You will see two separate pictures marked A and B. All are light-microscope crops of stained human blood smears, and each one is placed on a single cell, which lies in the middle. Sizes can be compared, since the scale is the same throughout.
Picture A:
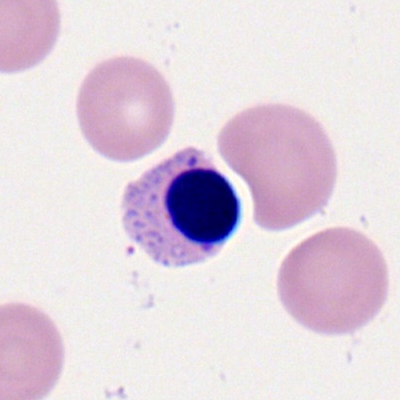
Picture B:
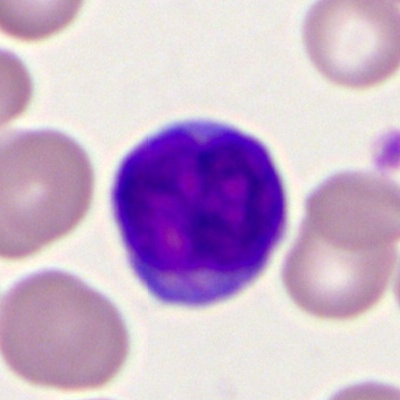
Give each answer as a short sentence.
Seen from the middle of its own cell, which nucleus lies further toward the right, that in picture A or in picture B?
It is the nucleus in picture A that lies further toward the right of its cell.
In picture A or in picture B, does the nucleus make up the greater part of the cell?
It is the cell in picture B that is filled more by its nucleus.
